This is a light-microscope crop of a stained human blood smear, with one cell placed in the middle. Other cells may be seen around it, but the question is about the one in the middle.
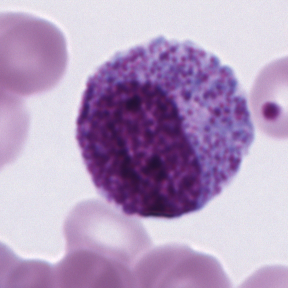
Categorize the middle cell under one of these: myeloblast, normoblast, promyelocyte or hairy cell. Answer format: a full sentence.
Standing at the centre of this crop is a promyelocyte.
